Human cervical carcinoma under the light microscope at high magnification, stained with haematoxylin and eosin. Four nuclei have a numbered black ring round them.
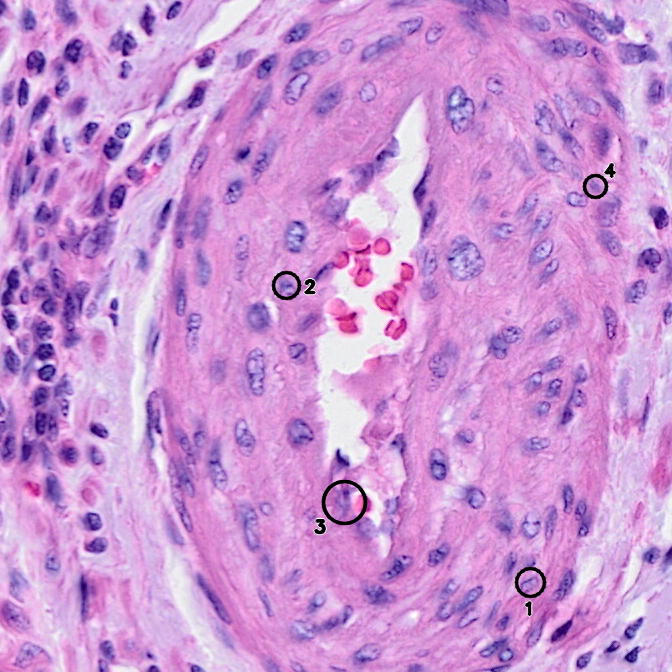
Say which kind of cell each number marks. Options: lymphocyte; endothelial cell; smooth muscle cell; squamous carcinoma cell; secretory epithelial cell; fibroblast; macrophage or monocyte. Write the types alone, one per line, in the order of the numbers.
smooth muscle cell
smooth muscle cell
endothelial cell
smooth muscle cell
